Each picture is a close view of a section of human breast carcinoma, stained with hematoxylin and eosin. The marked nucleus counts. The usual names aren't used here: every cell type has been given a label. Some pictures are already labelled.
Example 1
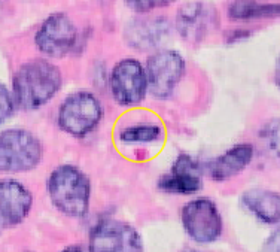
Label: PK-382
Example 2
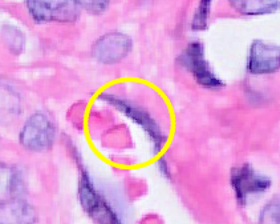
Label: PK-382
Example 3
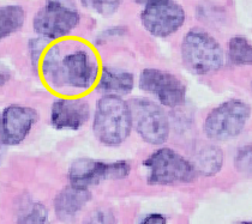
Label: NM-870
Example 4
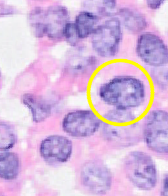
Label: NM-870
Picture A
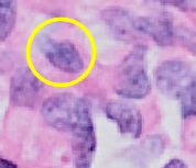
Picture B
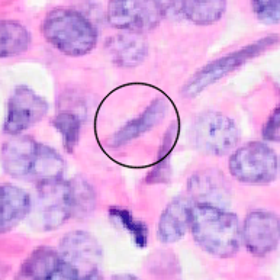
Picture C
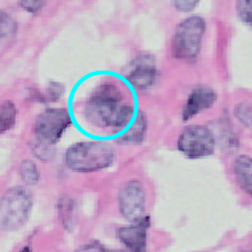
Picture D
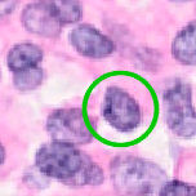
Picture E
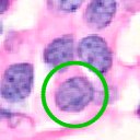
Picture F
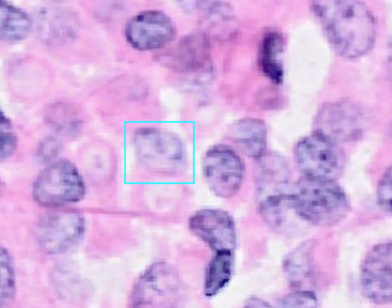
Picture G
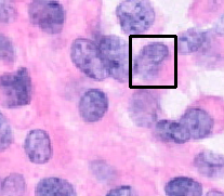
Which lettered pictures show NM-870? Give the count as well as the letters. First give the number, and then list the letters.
5: C, D, E, F, G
